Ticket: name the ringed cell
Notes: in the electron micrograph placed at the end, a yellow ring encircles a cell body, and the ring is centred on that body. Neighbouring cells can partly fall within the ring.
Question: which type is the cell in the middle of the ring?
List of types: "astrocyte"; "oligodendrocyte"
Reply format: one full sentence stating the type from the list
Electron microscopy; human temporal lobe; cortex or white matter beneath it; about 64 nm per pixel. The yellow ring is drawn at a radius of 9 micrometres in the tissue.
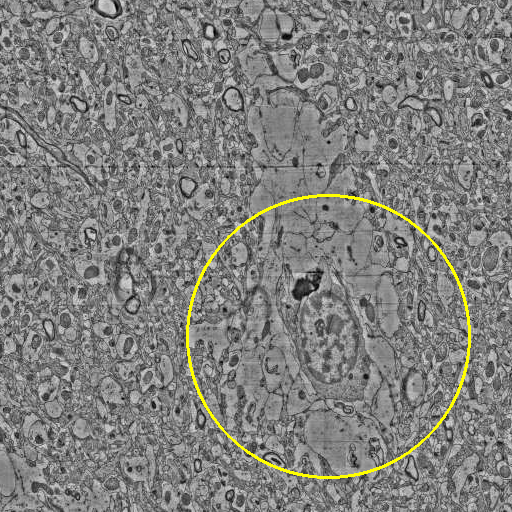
The cell sitting at the centre of the yellow ring is an oligodendrocyte.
